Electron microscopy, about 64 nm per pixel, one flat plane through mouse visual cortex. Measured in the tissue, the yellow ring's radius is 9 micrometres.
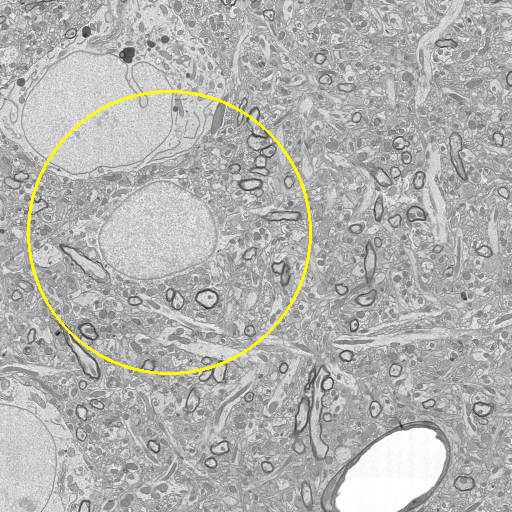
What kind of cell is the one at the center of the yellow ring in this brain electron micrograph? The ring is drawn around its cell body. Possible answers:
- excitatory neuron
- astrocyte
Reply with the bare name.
astrocyte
